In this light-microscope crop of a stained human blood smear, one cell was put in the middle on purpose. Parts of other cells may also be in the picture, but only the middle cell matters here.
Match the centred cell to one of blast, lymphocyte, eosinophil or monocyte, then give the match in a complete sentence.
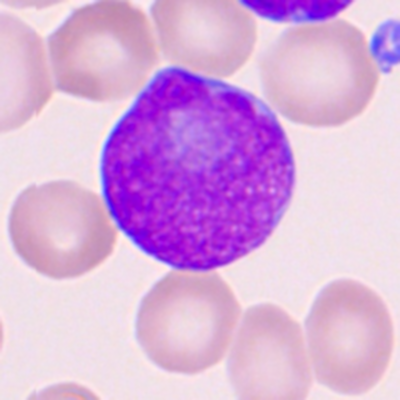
In the middle of this smear crop, the cell is a blast.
